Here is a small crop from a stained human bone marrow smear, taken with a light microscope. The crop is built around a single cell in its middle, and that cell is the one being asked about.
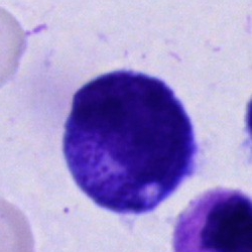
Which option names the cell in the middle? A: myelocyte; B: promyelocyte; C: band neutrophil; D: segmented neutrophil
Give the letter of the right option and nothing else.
B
